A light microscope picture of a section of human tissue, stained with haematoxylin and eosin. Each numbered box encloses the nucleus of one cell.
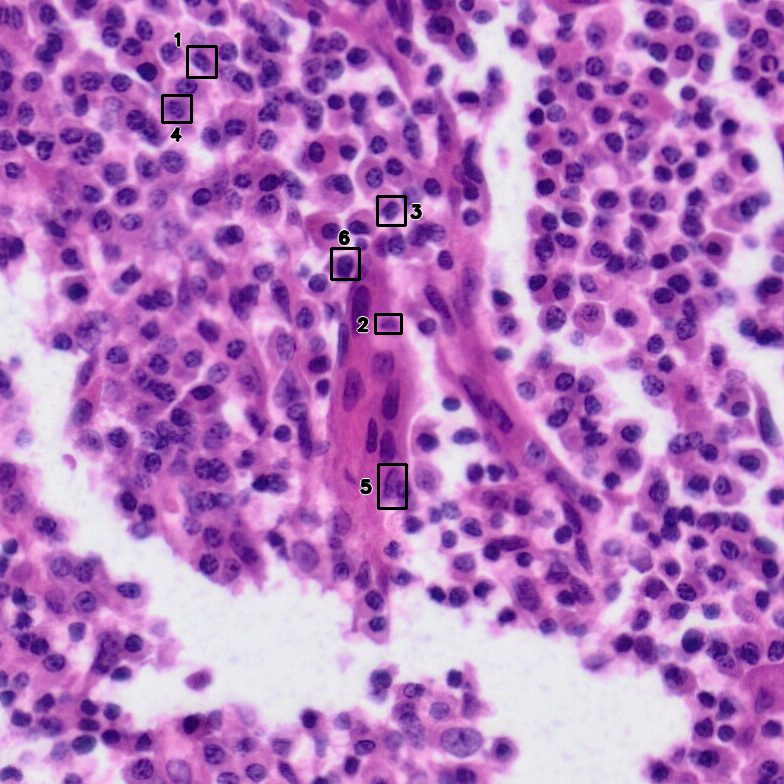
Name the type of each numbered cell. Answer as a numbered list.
1. plasma cell
2. squamous epithelial cell
3. plasma cell
4. plasma cell
5. squamous epithelial cell
6. plasma cell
